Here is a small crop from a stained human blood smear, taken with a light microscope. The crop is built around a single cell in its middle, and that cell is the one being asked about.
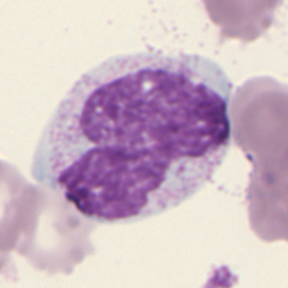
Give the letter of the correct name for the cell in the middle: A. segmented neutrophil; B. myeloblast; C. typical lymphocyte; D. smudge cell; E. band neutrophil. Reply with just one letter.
E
